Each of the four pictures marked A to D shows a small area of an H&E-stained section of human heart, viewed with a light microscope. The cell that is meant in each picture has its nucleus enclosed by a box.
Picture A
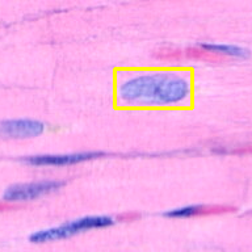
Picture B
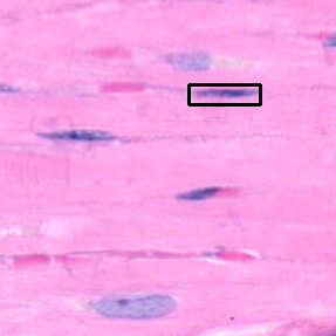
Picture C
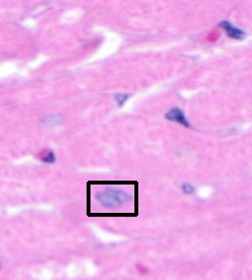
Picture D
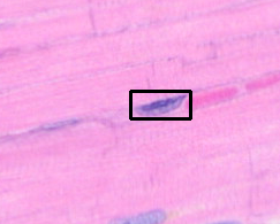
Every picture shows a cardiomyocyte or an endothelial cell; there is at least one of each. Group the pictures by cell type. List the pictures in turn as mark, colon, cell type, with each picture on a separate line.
A: cardiomyocyte
B: endothelial cell
C: cardiomyocyte
D: endothelial cell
